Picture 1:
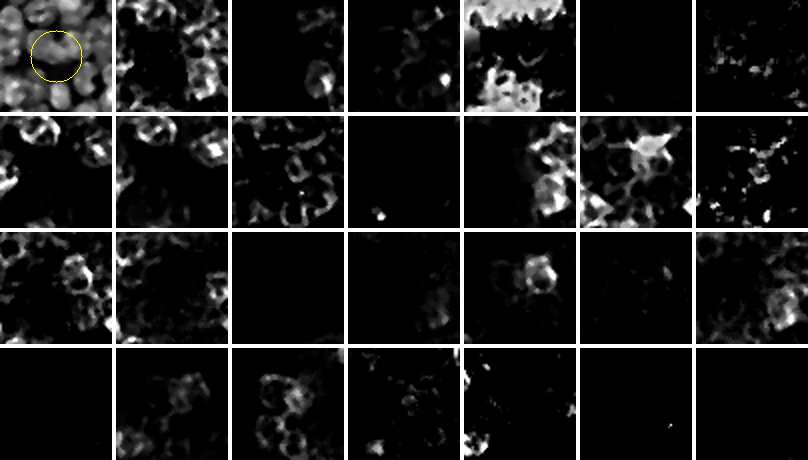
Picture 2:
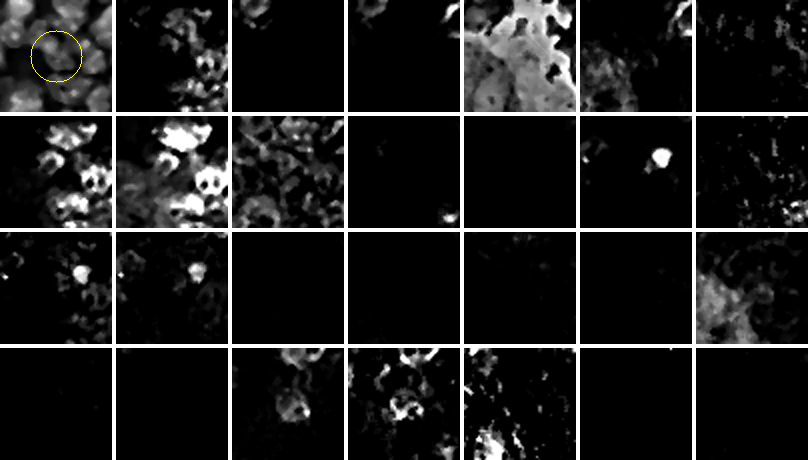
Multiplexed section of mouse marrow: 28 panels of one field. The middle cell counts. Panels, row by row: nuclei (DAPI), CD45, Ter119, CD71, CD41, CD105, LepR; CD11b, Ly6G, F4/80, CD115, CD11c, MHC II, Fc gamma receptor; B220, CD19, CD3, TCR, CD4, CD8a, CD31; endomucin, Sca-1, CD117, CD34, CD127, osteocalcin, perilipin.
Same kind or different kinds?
Different: the first is a granulocyte-monocyte progenitor, the second a megakaryocyte progenitor.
